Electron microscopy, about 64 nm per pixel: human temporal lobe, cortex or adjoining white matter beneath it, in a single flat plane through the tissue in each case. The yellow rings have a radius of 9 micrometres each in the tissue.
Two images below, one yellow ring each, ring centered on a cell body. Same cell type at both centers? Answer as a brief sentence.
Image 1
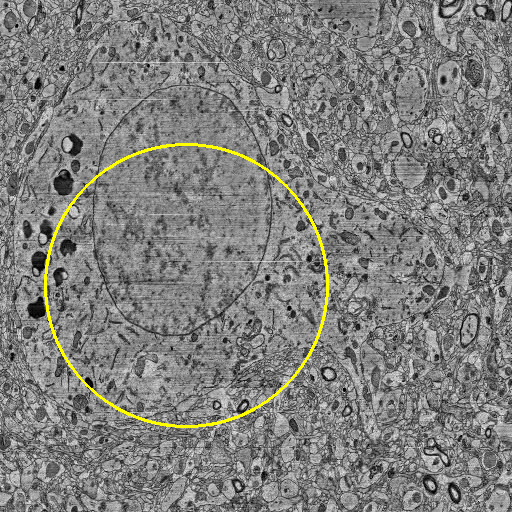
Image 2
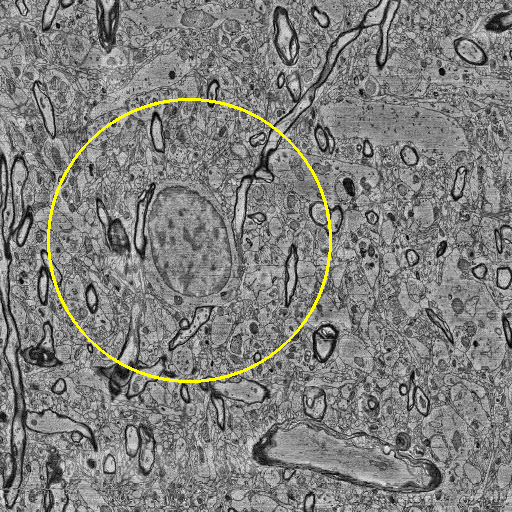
No, the cells are of two separate types.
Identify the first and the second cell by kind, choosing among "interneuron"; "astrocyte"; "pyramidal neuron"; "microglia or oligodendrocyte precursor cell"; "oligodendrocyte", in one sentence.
The one in the first picture is a pyramidal neuron, while the one in the second is an oligodendrocyte.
